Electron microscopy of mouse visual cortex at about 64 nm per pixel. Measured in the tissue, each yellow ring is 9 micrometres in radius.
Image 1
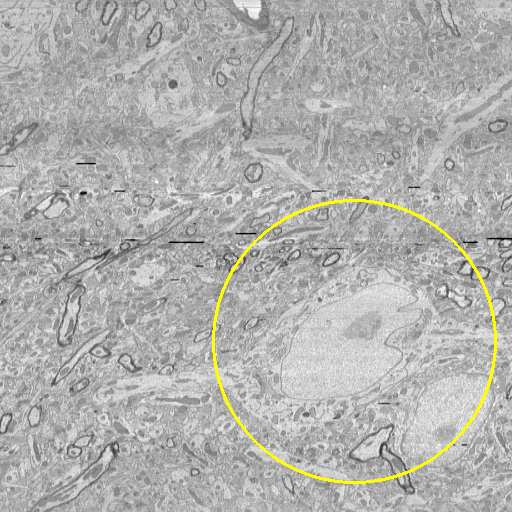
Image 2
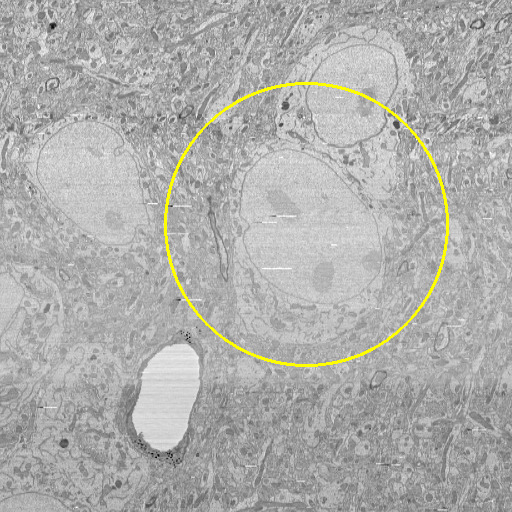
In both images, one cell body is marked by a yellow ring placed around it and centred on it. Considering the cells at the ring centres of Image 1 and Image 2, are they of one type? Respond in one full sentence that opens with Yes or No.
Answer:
Yes, a single type applies to the ring-centred cells of both Image 1 and Image 2.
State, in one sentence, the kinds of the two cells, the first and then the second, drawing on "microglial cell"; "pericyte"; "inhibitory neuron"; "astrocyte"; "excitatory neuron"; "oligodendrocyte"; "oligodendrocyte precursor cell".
Each of the two pictures has an excitatory neuron at the ring centre.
